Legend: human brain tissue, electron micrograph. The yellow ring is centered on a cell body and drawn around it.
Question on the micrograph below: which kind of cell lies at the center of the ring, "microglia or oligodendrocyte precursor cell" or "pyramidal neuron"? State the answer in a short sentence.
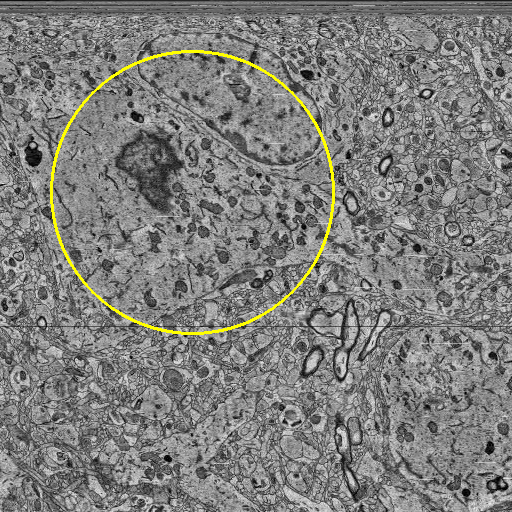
At the center of the ring lies a microglial cell or oligodendrocyte precursor cell.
